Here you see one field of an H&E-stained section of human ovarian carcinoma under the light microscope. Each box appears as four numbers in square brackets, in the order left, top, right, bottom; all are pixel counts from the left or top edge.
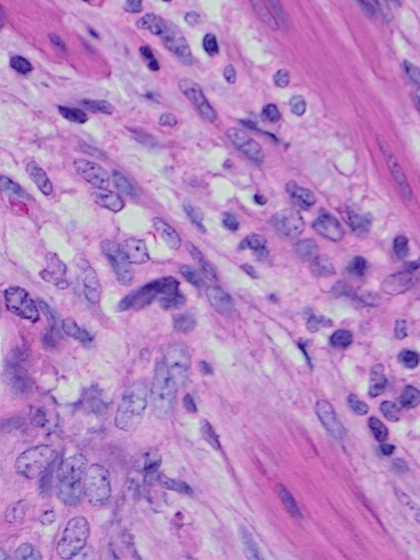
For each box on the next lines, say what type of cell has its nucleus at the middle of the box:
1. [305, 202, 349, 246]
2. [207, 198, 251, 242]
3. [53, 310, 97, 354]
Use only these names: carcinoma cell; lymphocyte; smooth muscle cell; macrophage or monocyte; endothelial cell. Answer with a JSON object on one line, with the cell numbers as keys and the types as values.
{"1": "endothelial cell", "2": "lymphocyte", "3": "macrophage or monocyte"}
